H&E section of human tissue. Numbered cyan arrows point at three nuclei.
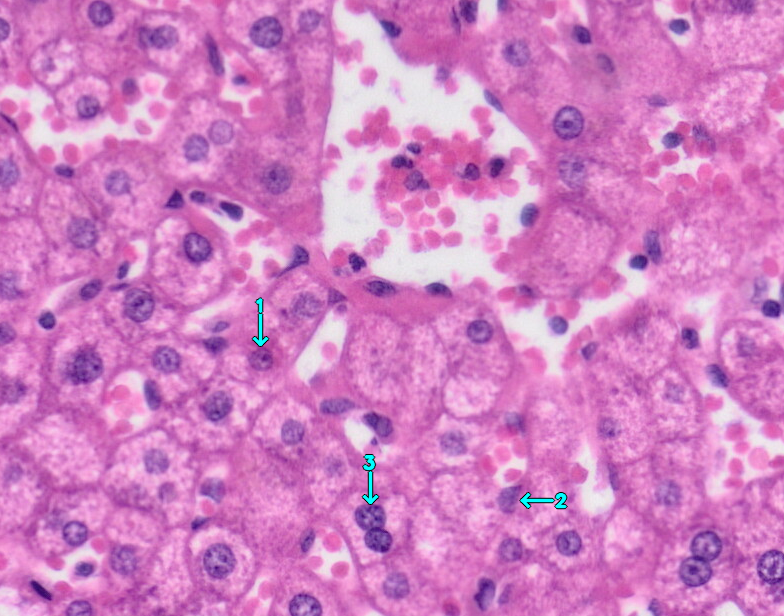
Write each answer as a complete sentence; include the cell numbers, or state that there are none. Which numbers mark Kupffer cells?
With respect to the numbered cells, none are Kupffer cells.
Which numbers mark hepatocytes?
The cells to which the numbers 1 and 3 refer are hepatocytes.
